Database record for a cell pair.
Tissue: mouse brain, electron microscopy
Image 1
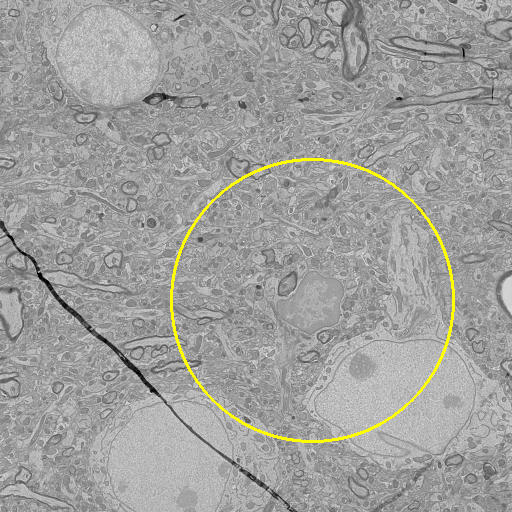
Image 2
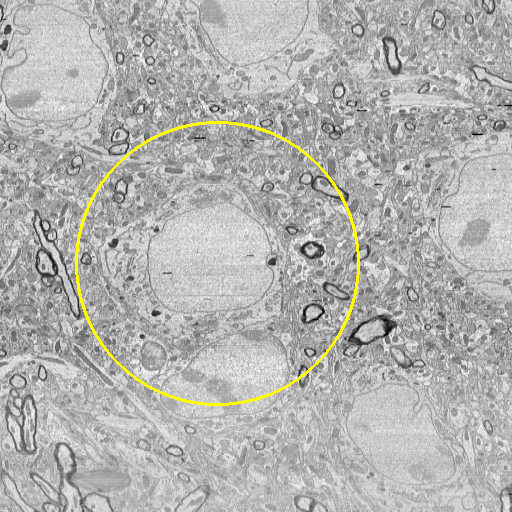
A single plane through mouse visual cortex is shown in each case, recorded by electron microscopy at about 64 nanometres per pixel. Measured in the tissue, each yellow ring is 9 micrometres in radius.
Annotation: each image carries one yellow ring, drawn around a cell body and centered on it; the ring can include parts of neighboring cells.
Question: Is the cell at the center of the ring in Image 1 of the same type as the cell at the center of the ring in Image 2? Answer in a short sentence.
No, the cells are of two types.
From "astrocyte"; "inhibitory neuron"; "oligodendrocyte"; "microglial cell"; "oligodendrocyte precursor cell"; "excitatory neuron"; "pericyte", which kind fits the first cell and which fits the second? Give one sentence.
The cell marked in the first picture is a microglial cell, and the one marked in the second is an excitatory neuron.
